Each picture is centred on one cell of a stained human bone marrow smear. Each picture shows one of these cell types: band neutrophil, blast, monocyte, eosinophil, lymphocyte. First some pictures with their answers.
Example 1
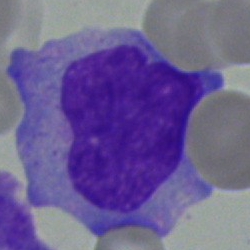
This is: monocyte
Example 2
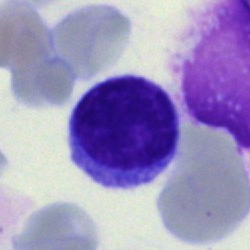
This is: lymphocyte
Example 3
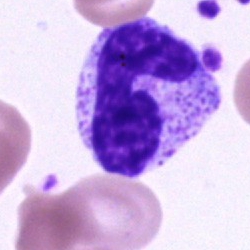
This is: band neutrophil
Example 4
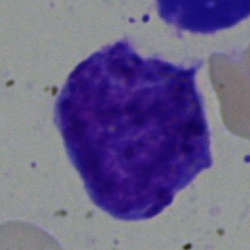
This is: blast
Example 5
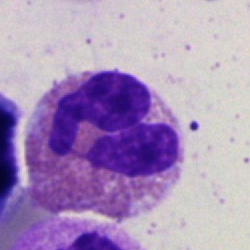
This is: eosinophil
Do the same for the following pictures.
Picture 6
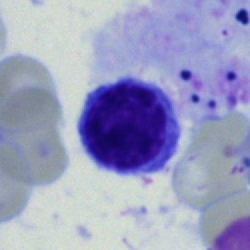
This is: lymphocyte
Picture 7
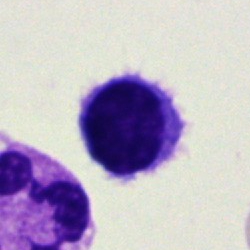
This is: lymphocyte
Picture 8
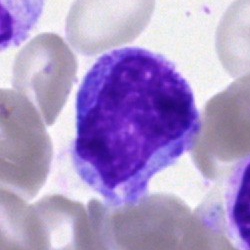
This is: lymphocyte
